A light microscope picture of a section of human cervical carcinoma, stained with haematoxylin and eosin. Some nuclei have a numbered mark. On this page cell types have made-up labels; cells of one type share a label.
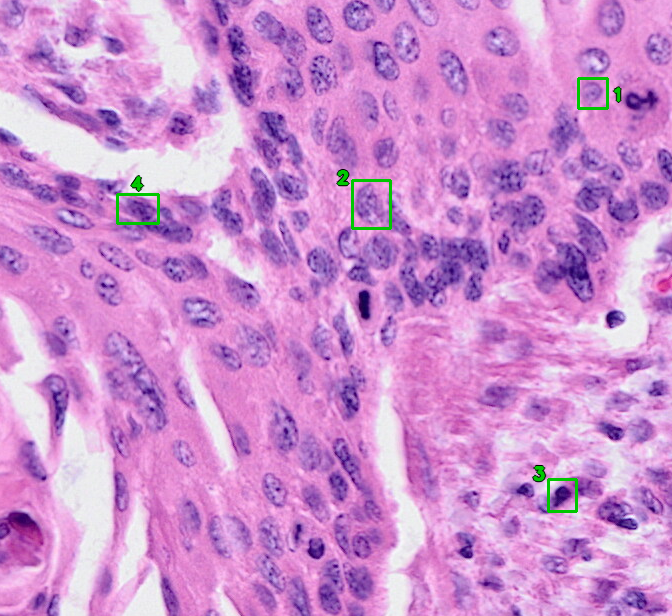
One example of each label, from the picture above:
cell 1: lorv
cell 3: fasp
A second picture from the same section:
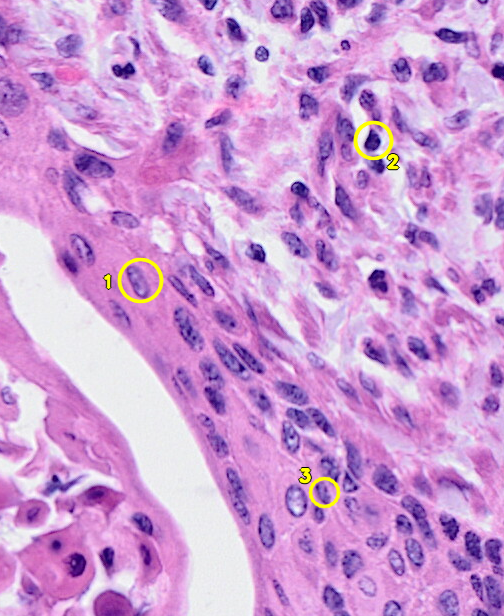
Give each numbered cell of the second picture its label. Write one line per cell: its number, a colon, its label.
1: lorv
2: fasp
3: lorv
